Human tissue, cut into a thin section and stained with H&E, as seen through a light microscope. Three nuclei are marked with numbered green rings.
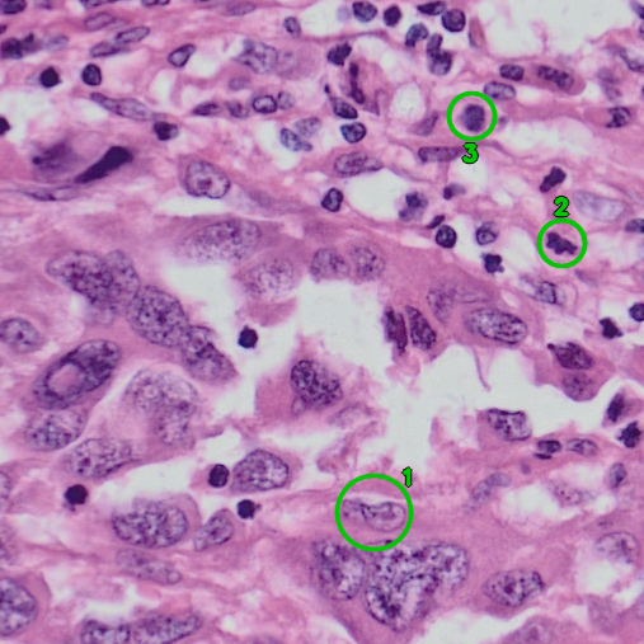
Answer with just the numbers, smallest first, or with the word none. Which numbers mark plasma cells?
3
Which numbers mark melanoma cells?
1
